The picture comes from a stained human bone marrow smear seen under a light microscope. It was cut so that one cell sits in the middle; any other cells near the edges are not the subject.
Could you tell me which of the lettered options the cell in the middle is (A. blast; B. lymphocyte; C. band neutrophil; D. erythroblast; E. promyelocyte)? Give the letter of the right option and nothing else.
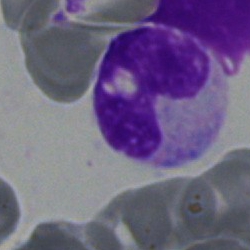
C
